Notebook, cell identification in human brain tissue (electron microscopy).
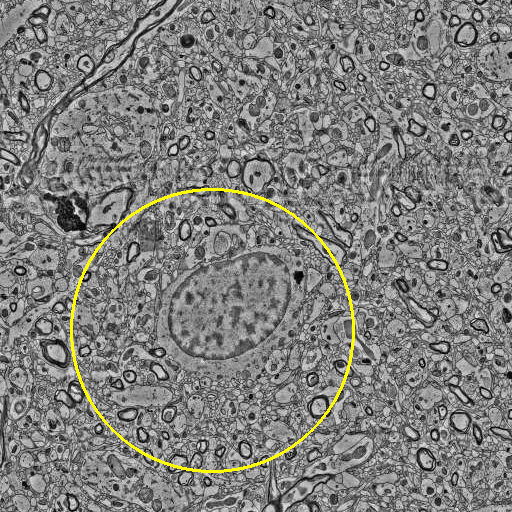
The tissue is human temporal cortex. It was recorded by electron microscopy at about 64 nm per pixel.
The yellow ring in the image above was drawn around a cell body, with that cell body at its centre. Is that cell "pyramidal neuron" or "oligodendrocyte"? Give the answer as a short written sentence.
The cell in the ring is an oligodendrocyte.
